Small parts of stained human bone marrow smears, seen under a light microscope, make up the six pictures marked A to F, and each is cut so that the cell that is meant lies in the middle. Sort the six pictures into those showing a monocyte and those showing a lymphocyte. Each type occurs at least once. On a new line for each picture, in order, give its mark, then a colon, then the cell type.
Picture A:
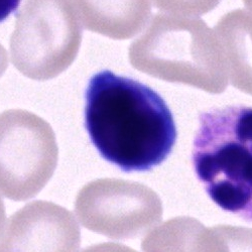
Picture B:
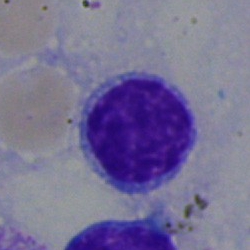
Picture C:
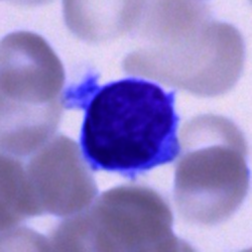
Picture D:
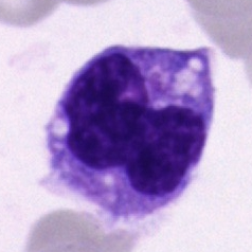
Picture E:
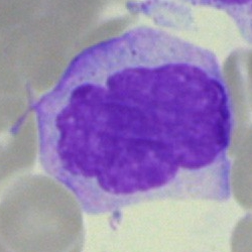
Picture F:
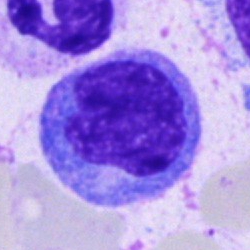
A: lymphocyte
B: lymphocyte
C: lymphocyte
D: monocyte
E: monocyte
F: monocyte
